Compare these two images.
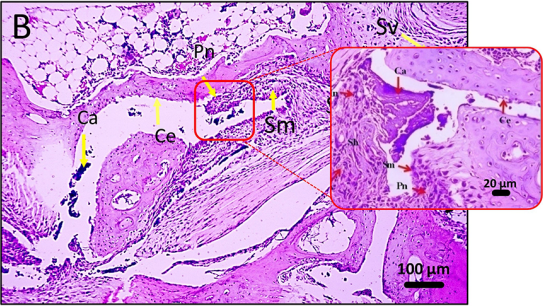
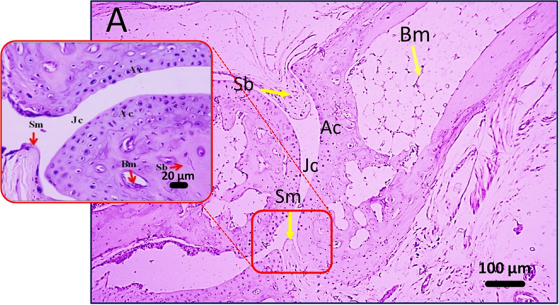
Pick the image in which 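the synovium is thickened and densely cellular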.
The first image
